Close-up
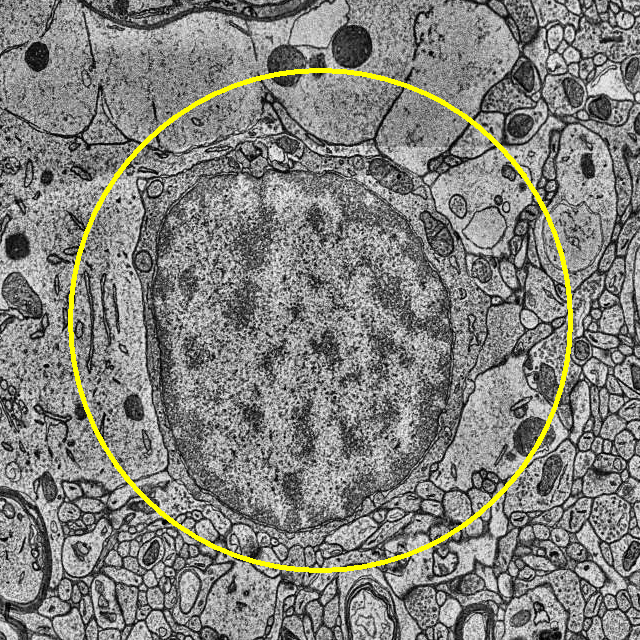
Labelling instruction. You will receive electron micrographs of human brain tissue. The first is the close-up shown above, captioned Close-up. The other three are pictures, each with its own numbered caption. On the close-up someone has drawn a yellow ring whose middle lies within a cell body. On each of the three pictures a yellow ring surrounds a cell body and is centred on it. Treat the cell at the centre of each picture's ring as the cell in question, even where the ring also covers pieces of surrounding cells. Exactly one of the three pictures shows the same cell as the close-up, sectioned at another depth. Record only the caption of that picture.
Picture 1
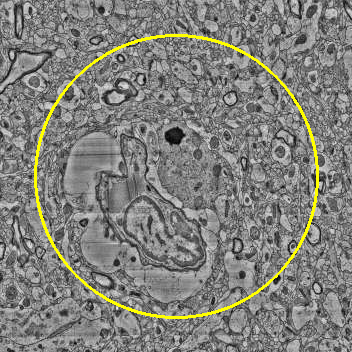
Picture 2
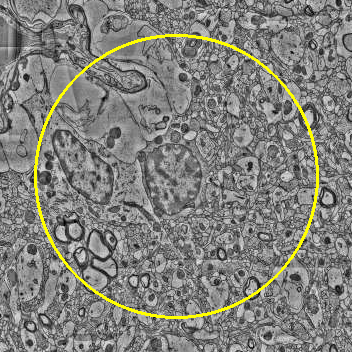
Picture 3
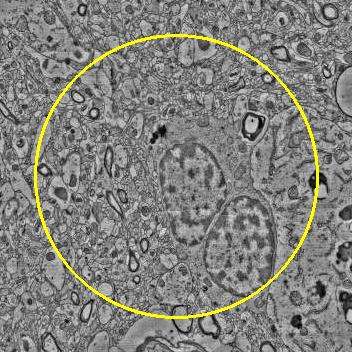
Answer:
Picture 2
